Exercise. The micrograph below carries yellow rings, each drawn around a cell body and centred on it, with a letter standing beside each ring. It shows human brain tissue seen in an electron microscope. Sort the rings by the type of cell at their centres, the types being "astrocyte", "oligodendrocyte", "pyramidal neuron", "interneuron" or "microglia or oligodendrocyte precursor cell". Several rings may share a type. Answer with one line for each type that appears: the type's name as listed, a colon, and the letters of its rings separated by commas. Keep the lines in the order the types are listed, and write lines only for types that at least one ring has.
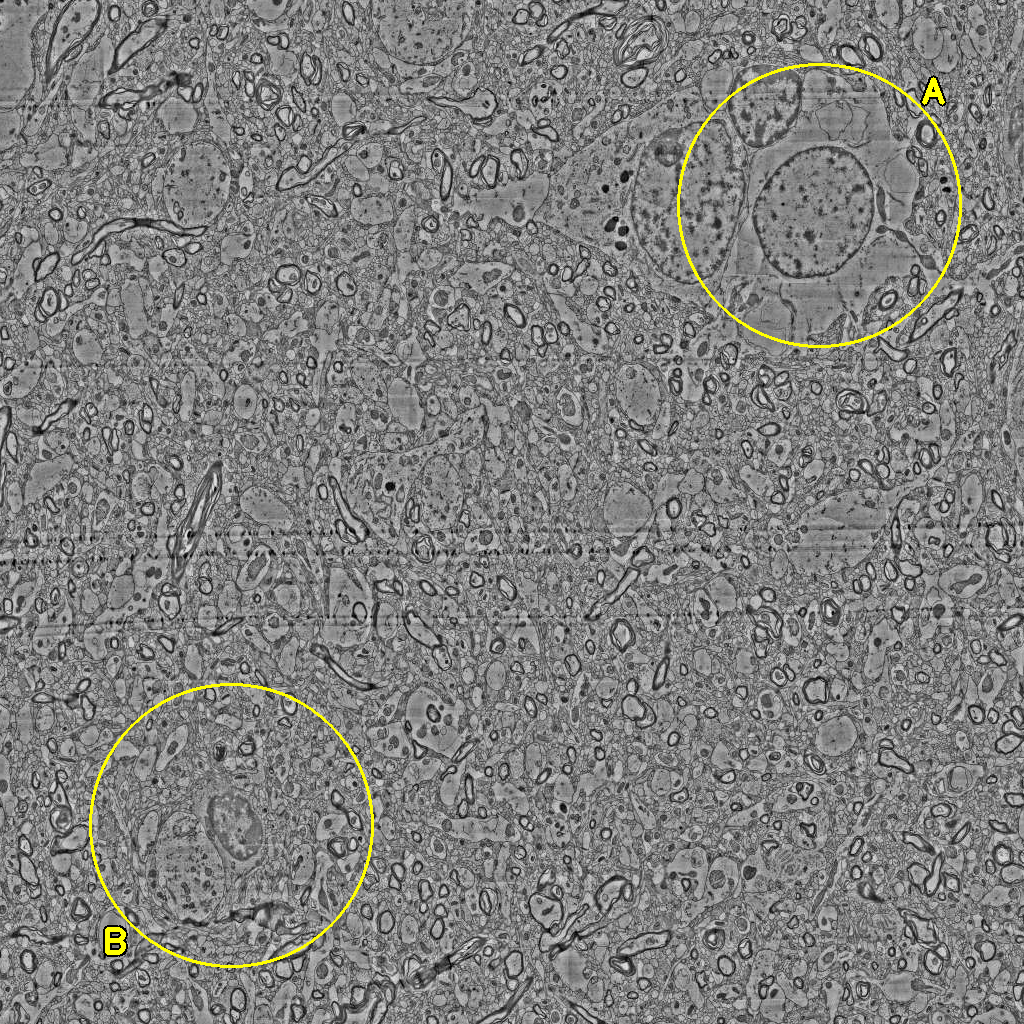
astrocyte: A
oligodendrocyte: B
